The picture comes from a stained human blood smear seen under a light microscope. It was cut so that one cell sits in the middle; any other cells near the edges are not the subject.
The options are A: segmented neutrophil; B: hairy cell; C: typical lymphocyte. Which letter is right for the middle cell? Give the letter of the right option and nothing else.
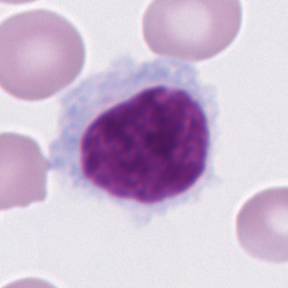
B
